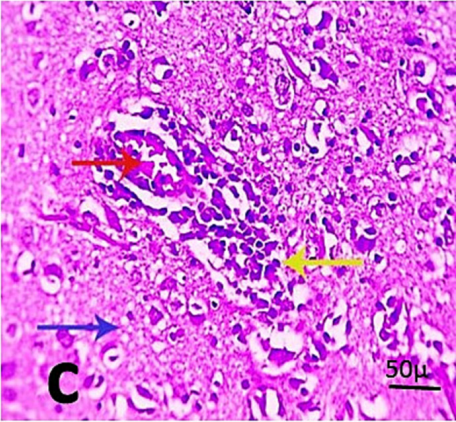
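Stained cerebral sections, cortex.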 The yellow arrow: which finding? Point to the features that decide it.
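Perivascular lymphocytic aggregation. A dense sheet of small round dark-purple nuclei. The cluster lies beside a blood vessel.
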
